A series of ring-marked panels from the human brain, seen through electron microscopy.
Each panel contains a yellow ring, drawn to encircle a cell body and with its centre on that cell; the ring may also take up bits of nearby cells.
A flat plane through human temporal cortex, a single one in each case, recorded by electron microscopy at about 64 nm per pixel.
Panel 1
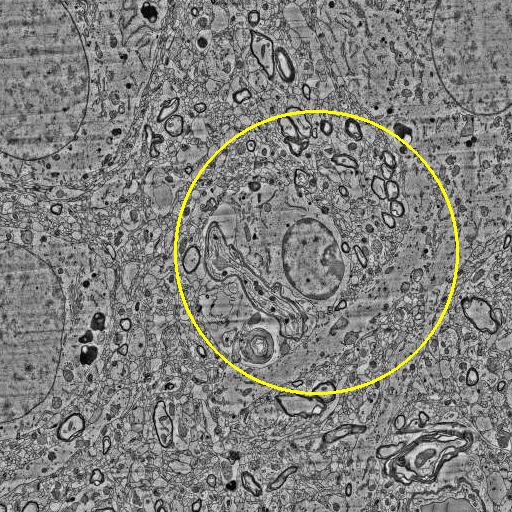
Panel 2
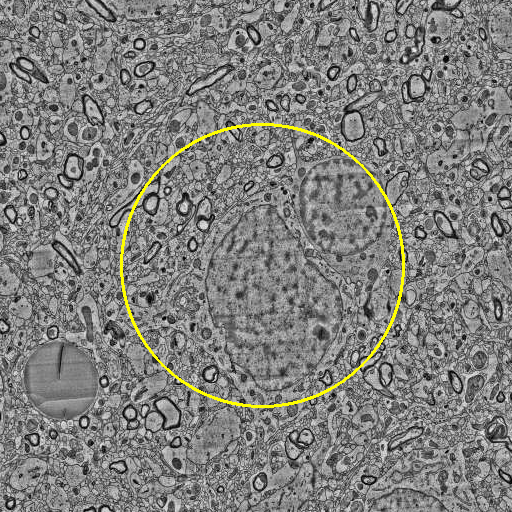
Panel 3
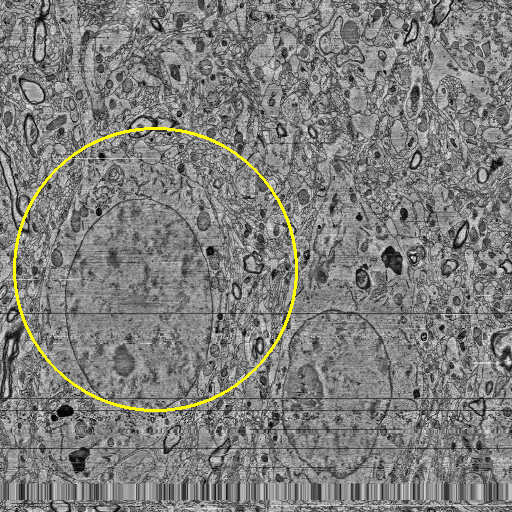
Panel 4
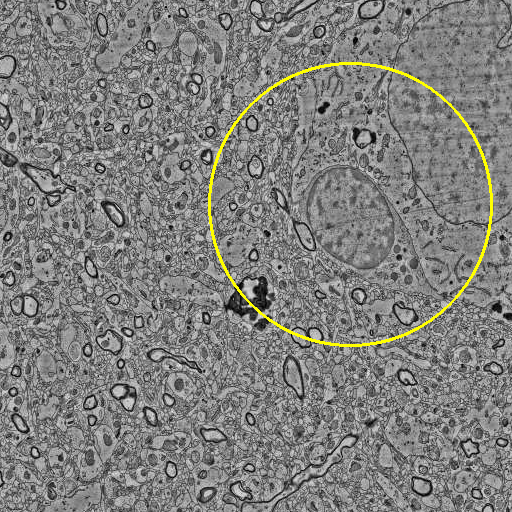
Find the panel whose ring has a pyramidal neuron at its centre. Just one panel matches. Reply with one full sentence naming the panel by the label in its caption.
The sought cell lies at the centre of the ring shown in Panel 3.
